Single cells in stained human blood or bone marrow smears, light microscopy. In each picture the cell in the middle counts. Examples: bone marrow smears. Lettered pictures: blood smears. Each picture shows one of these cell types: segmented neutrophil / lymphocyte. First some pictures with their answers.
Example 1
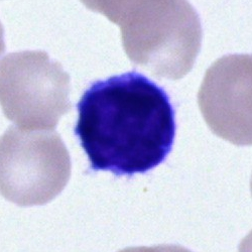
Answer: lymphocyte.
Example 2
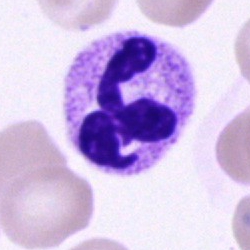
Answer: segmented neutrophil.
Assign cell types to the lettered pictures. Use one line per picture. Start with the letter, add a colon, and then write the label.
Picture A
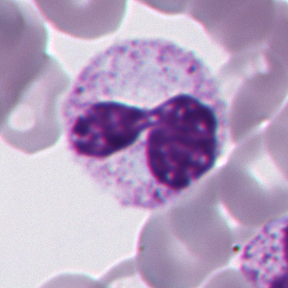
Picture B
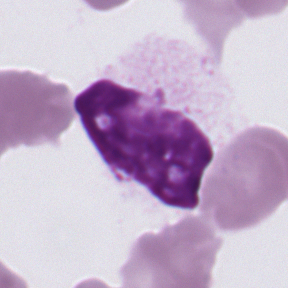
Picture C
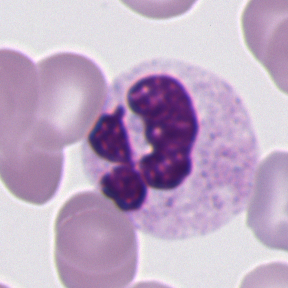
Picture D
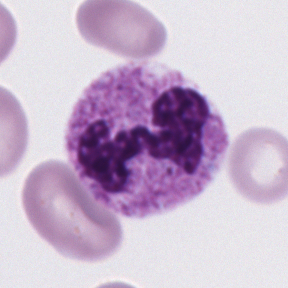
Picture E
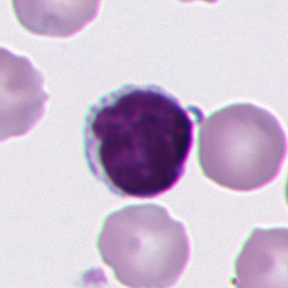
A: segmented neutrophil.
B: segmented neutrophil.
C: segmented neutrophil.
D: segmented neutrophil.
E: lymphocyte.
